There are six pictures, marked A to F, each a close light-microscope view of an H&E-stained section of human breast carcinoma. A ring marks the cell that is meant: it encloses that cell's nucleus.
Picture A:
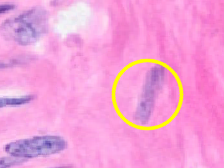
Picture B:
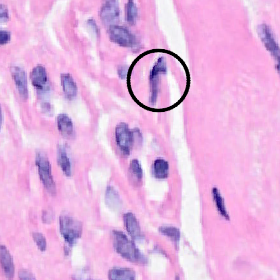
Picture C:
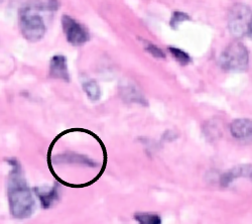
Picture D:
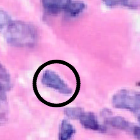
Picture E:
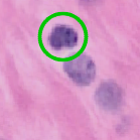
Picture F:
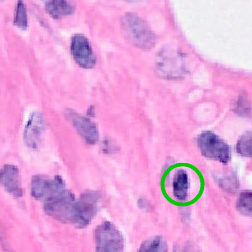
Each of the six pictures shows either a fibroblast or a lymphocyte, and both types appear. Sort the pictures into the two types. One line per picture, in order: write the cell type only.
fibroblast
fibroblast
fibroblast
lymphocyte
lymphocyte
lymphocyte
